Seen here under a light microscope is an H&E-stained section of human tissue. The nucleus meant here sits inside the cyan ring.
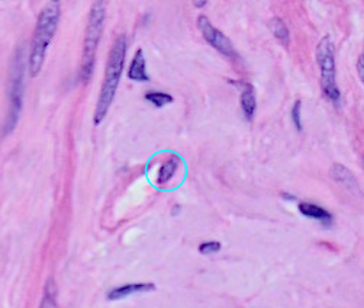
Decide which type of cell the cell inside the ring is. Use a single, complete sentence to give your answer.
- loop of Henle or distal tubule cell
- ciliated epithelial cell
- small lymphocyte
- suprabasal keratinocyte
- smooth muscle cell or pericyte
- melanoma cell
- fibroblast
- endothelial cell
The cell type represented by the cell inside the ring is that of an endothelial cell.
